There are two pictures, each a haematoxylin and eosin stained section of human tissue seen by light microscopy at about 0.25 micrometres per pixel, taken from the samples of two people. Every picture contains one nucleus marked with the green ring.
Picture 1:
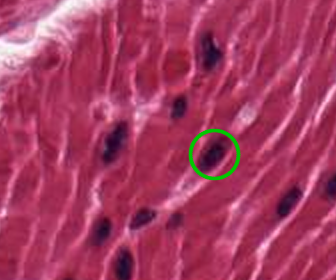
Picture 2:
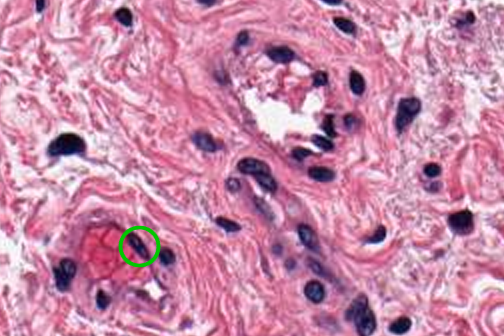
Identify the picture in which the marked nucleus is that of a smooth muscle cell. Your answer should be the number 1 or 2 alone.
1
